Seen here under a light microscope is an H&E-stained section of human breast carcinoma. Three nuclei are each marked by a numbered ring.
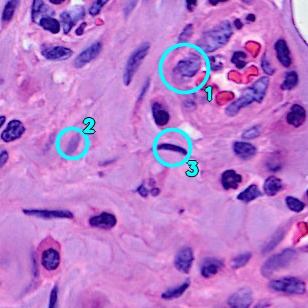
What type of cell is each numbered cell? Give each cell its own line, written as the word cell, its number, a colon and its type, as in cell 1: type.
cell 1: endothelial cell
cell 2: fibroblast
cell 3: fibroblast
